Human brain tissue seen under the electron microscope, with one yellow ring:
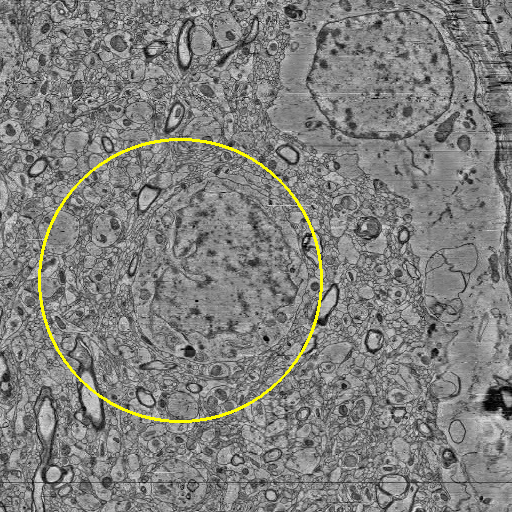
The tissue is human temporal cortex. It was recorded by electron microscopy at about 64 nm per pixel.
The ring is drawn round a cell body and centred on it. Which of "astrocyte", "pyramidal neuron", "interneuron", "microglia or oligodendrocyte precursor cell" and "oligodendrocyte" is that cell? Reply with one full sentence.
The picture shows an interneuron at the very centre of the yellow ring.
